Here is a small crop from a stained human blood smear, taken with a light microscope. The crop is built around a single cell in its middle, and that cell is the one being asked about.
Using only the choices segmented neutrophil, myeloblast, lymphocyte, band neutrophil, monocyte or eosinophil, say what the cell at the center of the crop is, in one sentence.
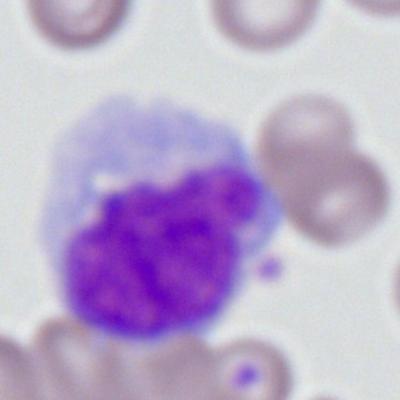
Here the cell in the middle is a monocyte.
